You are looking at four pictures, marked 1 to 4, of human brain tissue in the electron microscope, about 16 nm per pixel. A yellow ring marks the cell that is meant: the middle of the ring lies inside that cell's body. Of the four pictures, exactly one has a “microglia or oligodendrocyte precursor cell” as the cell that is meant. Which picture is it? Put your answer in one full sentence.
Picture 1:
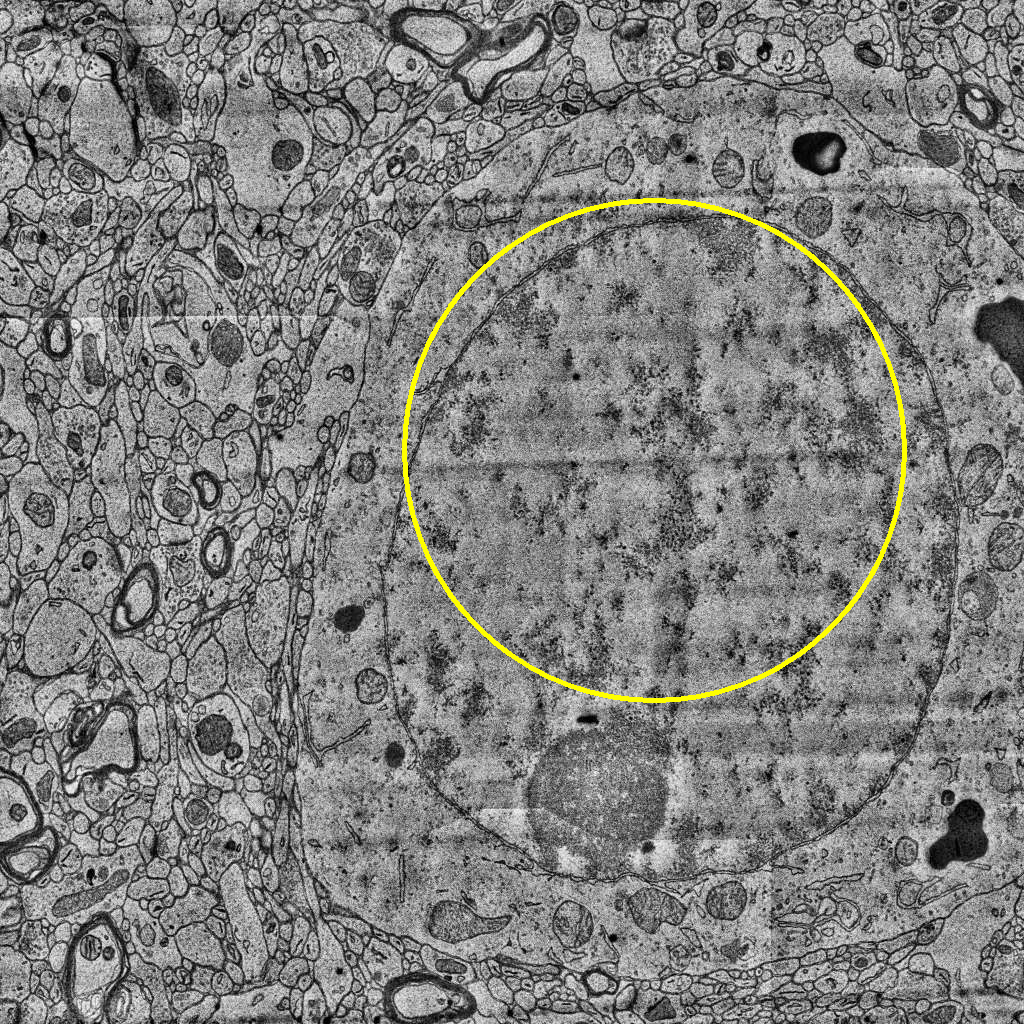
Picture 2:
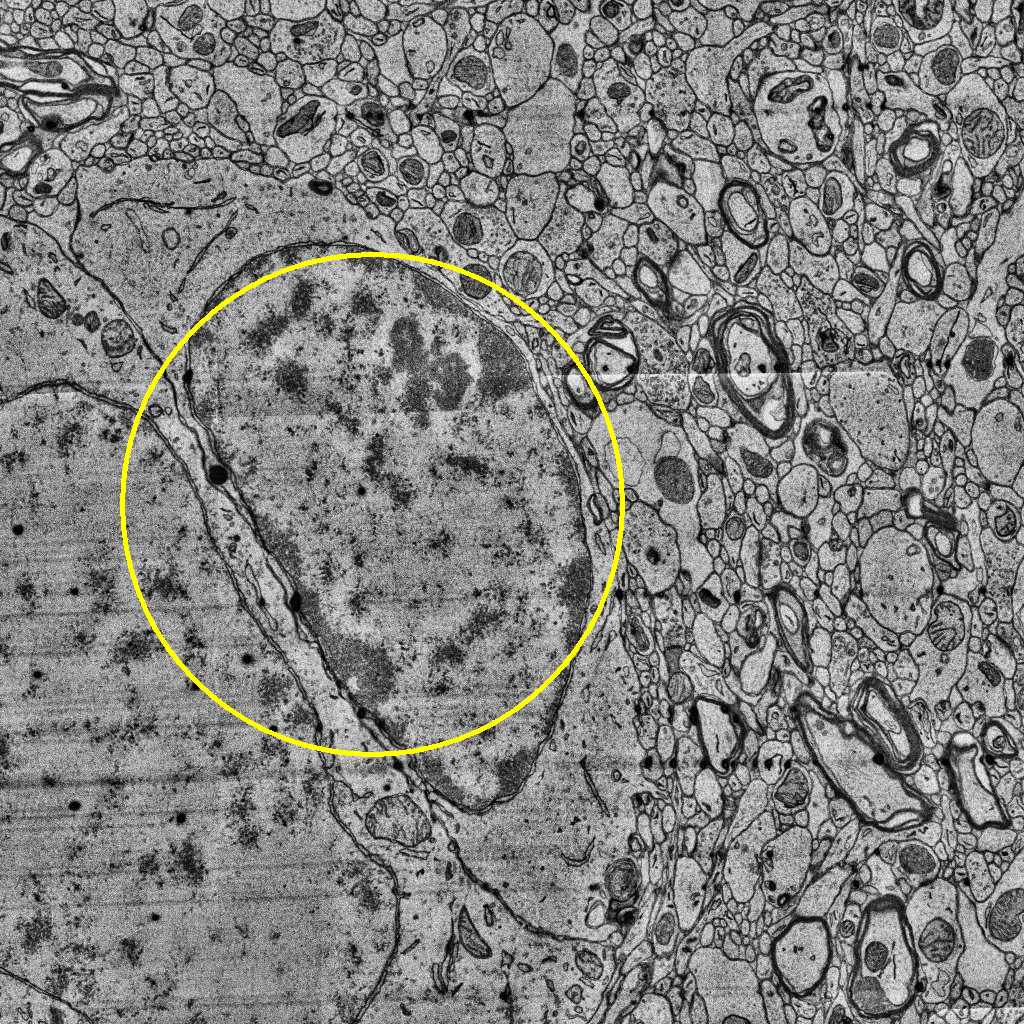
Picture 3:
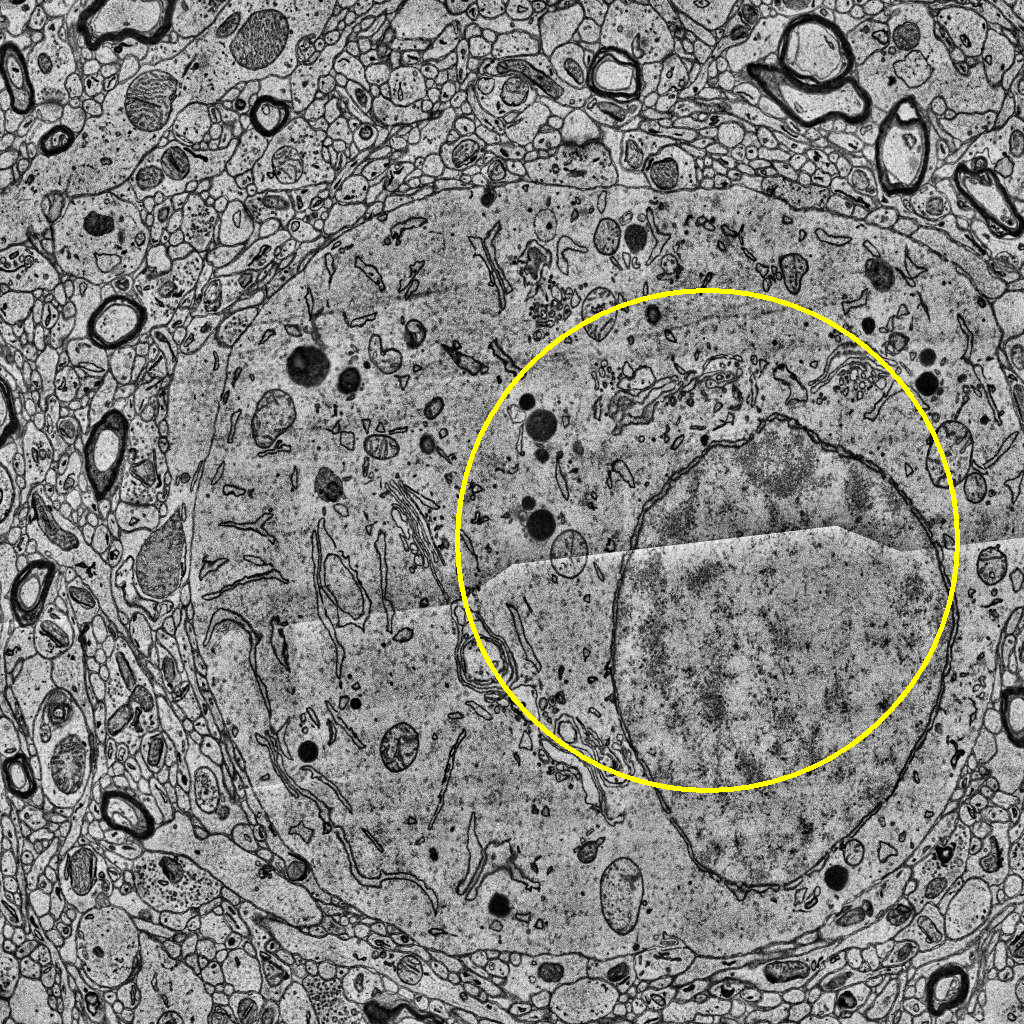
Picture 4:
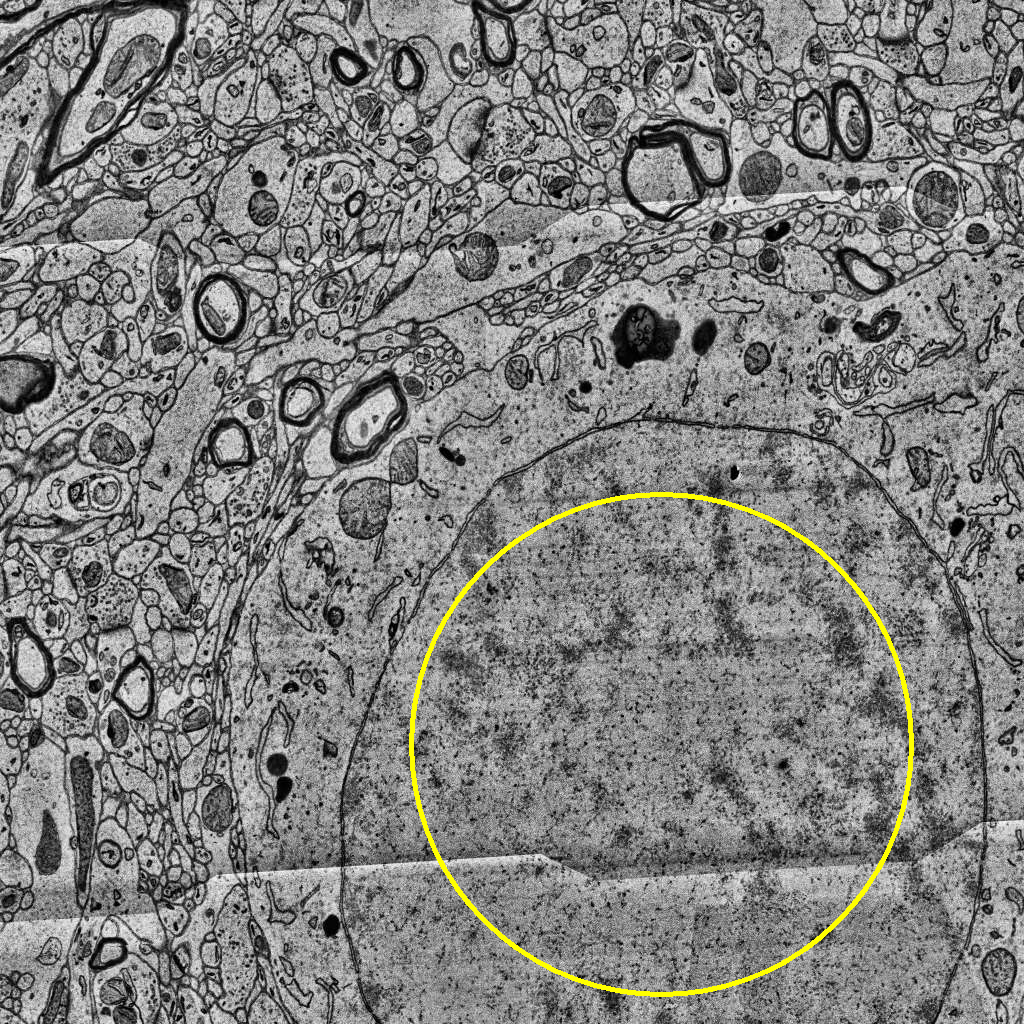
Picture 2 shows the “microglia or oligodendrocyte precursor cell”.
